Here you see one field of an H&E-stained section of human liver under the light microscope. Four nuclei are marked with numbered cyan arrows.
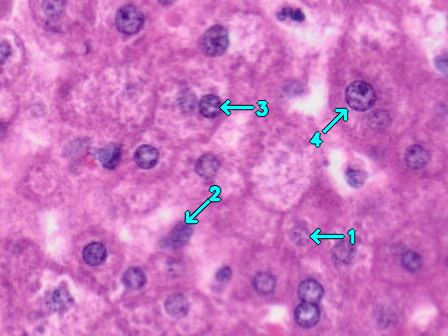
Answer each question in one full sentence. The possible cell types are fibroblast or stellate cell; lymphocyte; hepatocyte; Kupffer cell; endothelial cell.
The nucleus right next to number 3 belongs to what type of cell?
The cell nearest to number 3 is a hepatocyte.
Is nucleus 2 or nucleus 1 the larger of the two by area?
Number 2 is larger; its area is about 1.5 times that of number 1.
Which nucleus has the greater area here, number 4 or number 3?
Number 4 is larger; its area is about 2 times that of number 3.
